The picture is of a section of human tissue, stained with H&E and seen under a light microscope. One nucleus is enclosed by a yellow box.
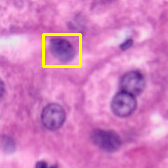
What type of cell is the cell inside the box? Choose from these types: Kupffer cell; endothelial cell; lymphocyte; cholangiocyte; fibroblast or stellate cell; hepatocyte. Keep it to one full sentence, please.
In this tissue sample, the cell inside the box is an endothelial cell.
